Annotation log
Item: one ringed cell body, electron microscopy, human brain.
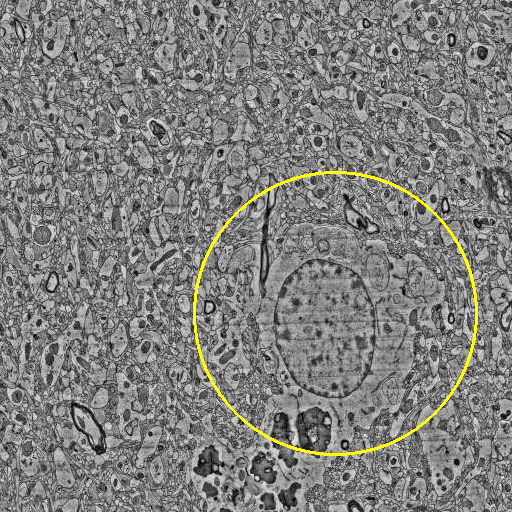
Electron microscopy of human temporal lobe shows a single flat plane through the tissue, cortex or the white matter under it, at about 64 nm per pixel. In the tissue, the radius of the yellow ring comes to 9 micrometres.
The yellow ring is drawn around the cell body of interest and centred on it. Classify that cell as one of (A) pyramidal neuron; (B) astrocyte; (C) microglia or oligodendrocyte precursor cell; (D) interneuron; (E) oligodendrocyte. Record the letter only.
B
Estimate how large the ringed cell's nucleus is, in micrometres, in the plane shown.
The nucleus appears roughly 9 by 7 micrometres in this plane.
